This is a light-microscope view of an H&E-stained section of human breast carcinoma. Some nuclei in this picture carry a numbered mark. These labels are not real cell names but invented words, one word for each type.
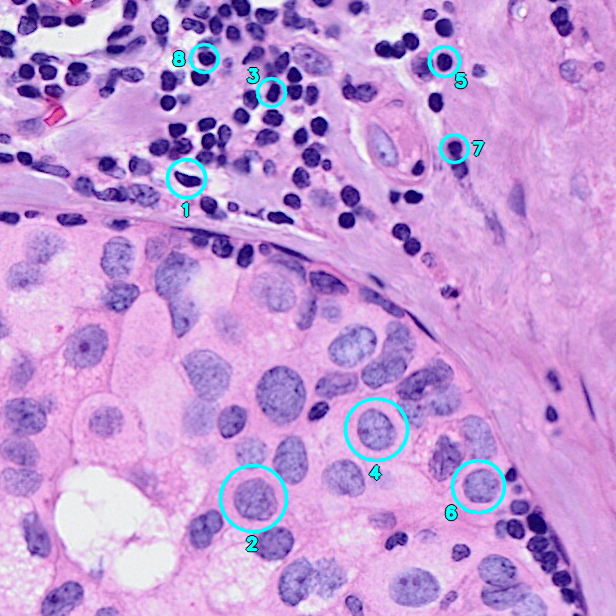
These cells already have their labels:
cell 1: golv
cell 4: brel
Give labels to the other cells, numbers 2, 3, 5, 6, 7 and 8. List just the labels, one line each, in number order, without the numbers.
brel
golv
golv
brel
golv
golv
